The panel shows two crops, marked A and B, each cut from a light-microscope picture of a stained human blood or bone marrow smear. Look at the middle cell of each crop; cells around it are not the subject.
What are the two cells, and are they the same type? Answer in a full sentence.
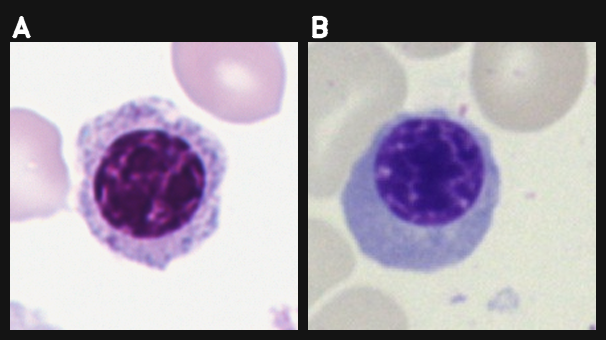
Yes, both crops show erythroblasts, and the two match.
